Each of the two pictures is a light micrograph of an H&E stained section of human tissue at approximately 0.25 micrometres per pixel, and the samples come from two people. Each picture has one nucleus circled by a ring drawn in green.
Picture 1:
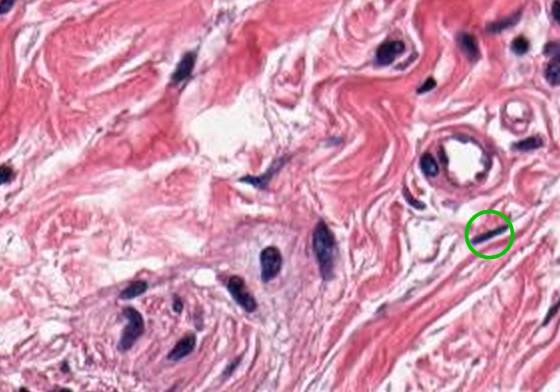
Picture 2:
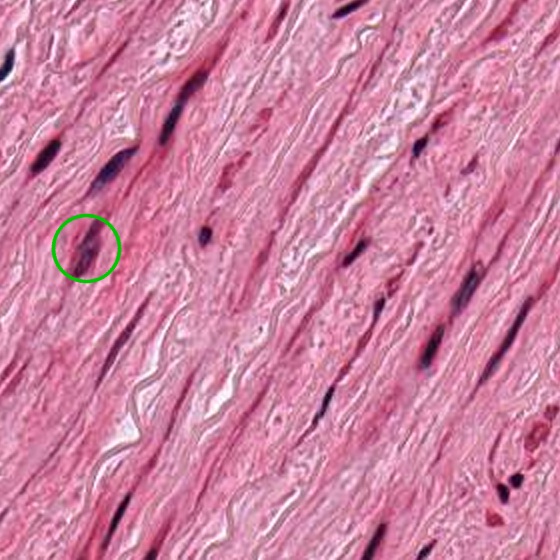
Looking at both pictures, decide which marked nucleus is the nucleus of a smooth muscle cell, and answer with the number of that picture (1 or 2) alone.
2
